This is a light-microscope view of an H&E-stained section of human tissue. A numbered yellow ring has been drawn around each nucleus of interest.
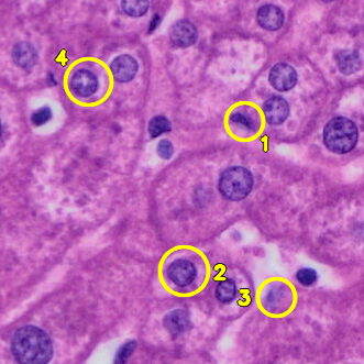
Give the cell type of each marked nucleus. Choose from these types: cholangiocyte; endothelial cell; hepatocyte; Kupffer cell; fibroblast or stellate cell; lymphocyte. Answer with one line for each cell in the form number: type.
1: endothelial cell
2: hepatocyte
3: Kupffer cell
4: hepatocyte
